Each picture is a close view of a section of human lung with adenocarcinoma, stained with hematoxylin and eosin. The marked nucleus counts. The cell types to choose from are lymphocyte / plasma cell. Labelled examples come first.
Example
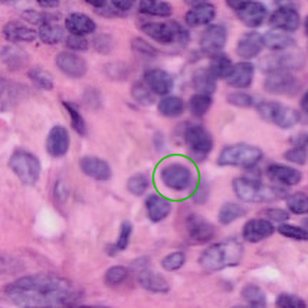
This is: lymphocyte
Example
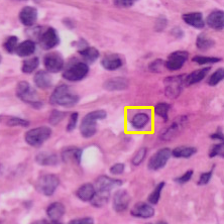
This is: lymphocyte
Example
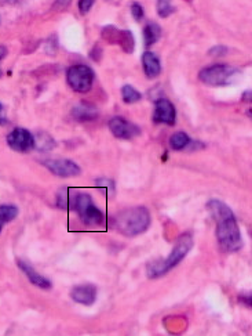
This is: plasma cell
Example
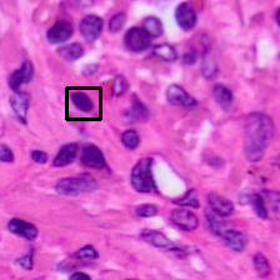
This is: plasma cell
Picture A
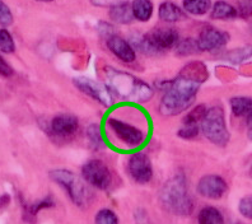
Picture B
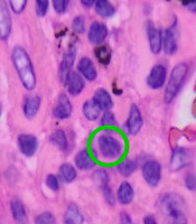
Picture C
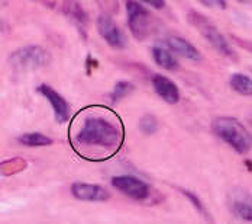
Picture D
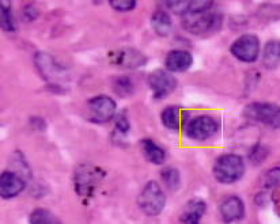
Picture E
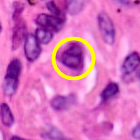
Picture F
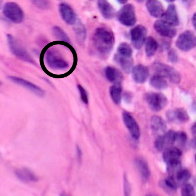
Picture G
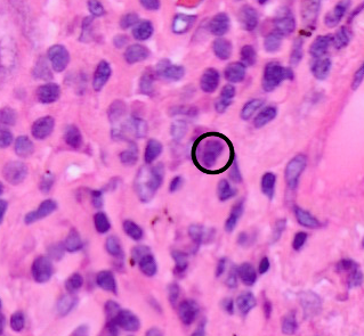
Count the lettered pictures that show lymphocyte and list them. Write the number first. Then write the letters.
2: B, D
